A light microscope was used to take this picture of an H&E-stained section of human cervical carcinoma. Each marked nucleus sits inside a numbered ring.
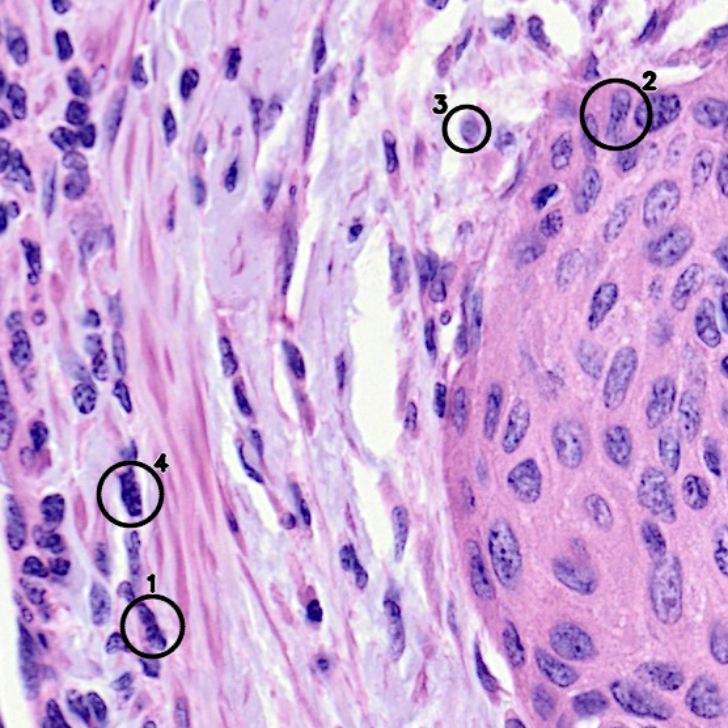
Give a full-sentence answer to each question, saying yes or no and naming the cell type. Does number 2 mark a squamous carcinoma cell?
Yes, the cell identified as number 2 is a squamous carcinoma cell.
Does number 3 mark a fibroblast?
Yes, in this tissue section, number 3 is a fibroblast.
